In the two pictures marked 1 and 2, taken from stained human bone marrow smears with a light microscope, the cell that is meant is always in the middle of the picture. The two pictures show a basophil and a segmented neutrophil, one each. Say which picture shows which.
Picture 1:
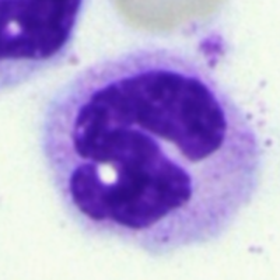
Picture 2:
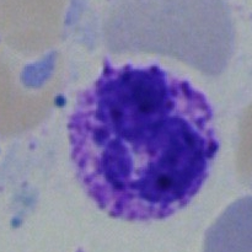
1: segmented neutrophil
2: basophil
